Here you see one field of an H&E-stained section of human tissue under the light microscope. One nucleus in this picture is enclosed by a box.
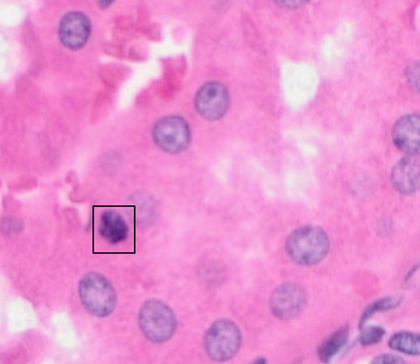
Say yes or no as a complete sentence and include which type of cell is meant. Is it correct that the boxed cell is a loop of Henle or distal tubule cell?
No, score the boxed cell as a proximal tubule cell; it is not a loop of Henle or distal tubule cell.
